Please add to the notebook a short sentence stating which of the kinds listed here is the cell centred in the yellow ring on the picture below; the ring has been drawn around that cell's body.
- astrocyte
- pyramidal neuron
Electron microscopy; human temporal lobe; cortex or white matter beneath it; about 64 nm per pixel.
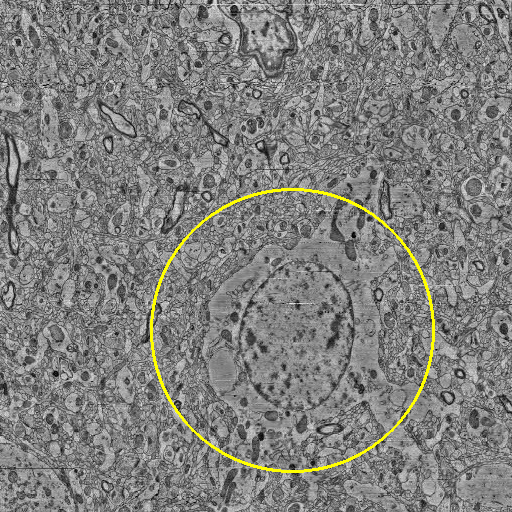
The cell centred in the yellow ring is an astrocyte.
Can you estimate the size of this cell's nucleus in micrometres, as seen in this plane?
About 10 by 7 micrometers for the nucleus, in this plane.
